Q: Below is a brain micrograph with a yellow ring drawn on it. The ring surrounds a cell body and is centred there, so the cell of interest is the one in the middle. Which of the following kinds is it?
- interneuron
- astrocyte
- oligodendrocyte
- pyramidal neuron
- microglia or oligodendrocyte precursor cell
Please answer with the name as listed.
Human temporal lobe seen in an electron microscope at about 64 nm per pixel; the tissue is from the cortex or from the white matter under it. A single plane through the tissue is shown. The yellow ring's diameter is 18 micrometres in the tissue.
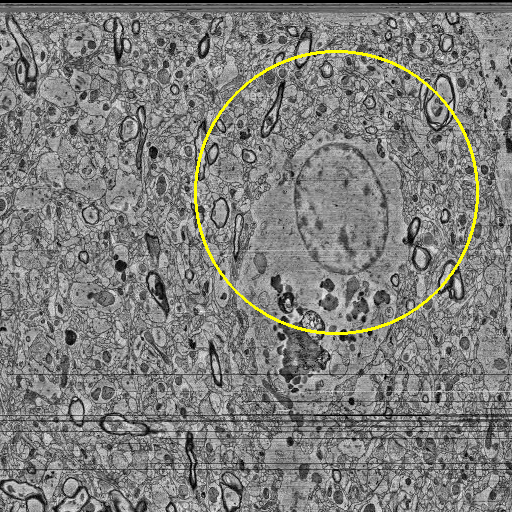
astrocyte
